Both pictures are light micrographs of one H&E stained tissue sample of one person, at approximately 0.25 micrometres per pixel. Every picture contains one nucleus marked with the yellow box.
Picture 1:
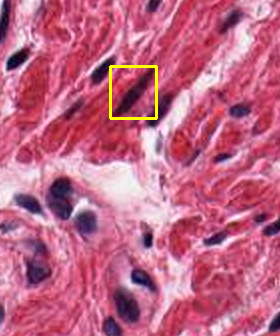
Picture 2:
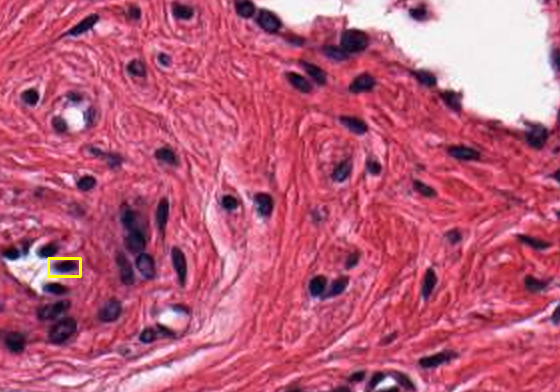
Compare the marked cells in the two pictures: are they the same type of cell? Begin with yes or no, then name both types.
No, the first is a smooth muscle cell and the second an endothelial cell.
